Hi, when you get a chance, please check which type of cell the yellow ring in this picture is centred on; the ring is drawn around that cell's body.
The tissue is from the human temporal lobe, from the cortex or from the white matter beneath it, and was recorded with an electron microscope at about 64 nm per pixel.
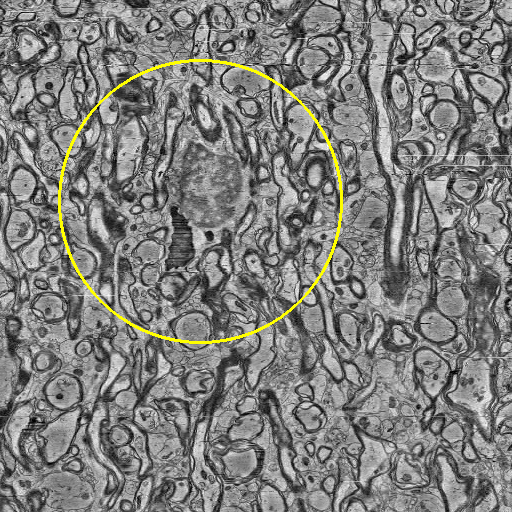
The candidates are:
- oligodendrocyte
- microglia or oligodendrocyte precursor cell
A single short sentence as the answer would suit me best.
The ring is drawn around the body of an oligodendrocyte.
